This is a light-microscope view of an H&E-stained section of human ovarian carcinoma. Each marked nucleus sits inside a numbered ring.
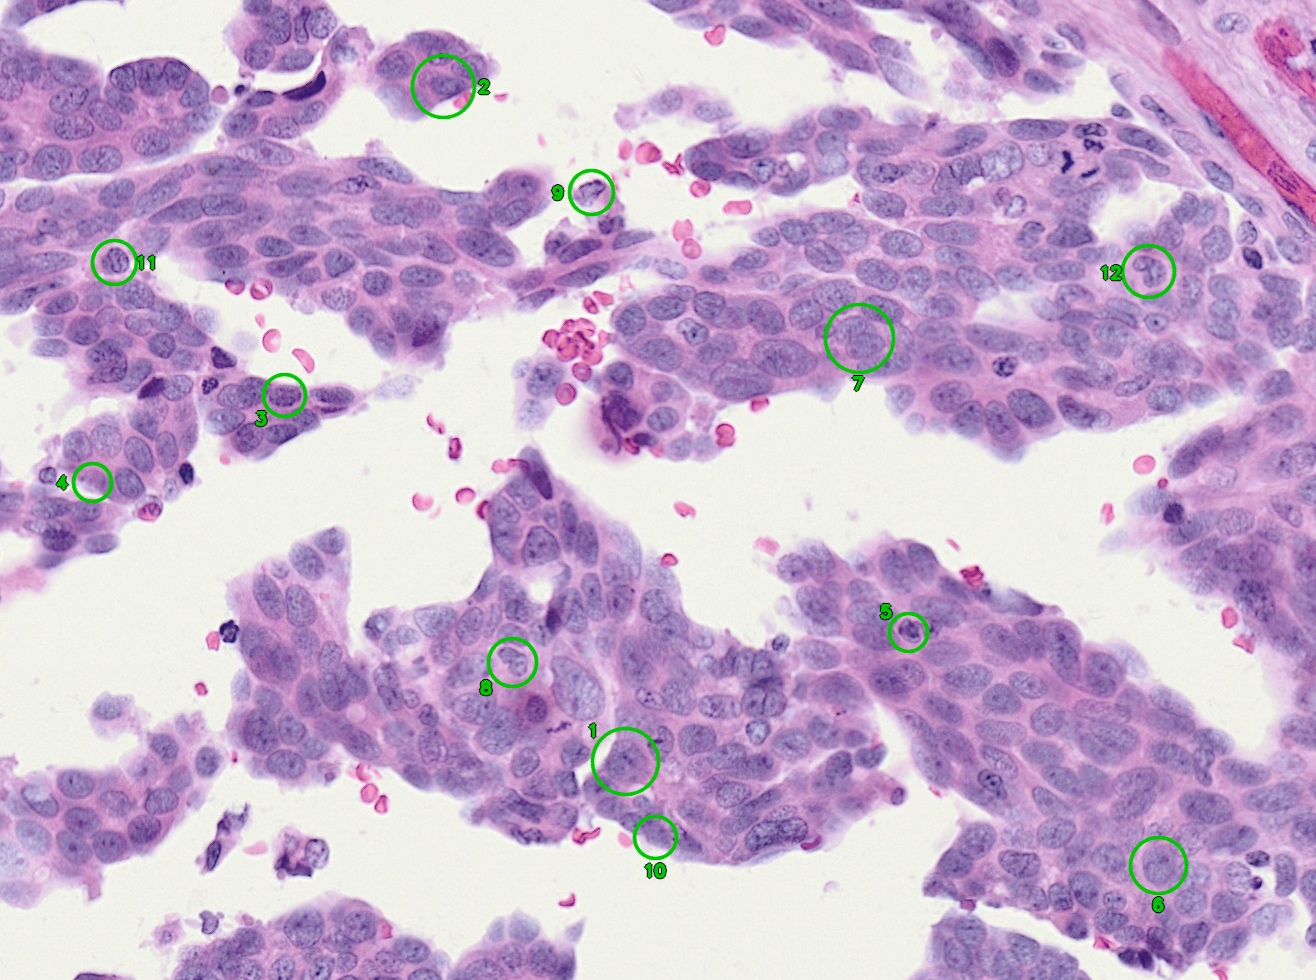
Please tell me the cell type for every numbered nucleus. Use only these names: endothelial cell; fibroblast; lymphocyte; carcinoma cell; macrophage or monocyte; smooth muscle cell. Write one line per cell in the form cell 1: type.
cell 1: carcinoma cell
cell 2: carcinoma cell
cell 3: carcinoma cell
cell 4: carcinoma cell
cell 5: lymphocyte
cell 6: carcinoma cell
cell 7: carcinoma cell
cell 8: macrophage or monocyte
cell 9: macrophage or monocyte
cell 10: carcinoma cell
cell 11: macrophage or monocyte
cell 12: macrophage or monocyte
